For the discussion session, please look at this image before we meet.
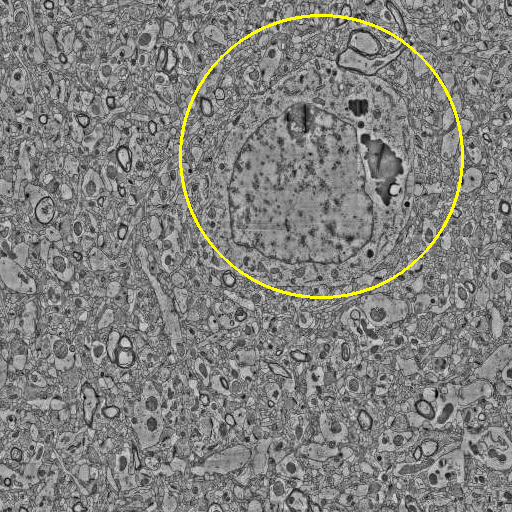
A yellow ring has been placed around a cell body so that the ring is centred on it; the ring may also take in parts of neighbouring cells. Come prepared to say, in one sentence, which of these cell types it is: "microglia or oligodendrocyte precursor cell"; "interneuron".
The cell centred in the ring is an interneuron.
